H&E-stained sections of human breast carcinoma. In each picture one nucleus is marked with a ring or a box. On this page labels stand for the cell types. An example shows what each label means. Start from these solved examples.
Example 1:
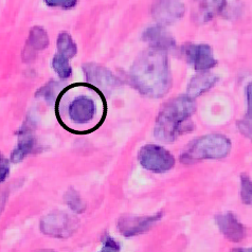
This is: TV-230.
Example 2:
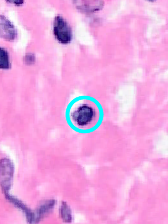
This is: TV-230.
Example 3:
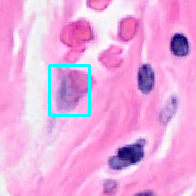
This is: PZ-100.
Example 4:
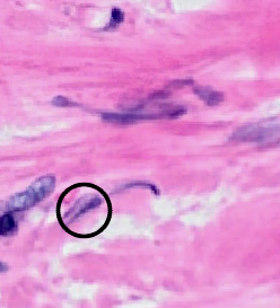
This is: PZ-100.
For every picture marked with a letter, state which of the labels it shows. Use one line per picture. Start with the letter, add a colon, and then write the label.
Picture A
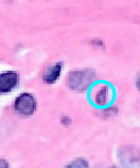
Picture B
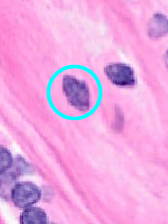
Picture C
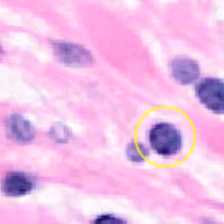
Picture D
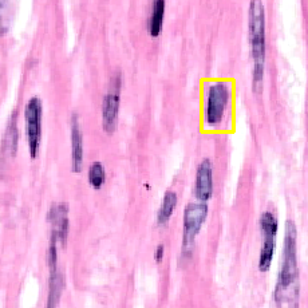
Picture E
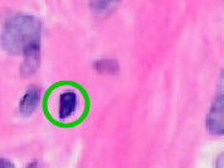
A: PZ-100.
B: TV-230.
C: TV-230.
D: TV-230.
E: TV-230.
